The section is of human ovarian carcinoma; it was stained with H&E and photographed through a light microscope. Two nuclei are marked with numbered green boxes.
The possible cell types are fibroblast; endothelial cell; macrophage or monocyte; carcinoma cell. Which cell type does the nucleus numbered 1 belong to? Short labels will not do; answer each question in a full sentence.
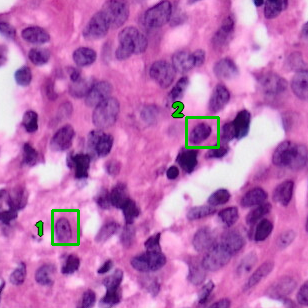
Number 1 is placed on a macrophage or monocyte here.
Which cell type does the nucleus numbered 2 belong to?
The cell marked with number 2 is a carcinoma cell.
